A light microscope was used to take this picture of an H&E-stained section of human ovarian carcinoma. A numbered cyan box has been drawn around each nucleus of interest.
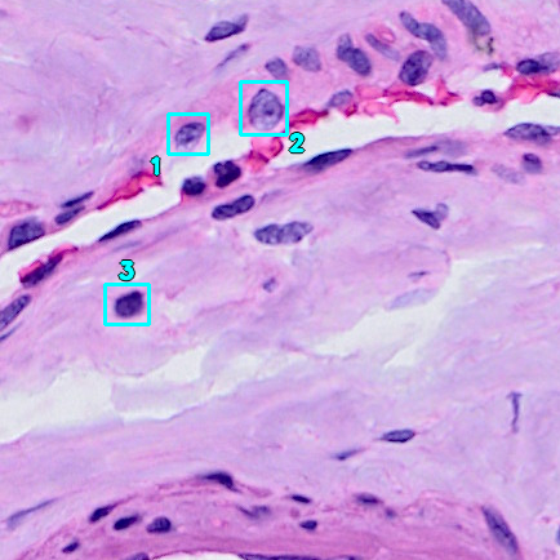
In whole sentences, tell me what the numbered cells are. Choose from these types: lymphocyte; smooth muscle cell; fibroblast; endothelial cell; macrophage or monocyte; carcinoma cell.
Cells 1 and 2 are endothelial cells. Cell 3 is a lymphocyte.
